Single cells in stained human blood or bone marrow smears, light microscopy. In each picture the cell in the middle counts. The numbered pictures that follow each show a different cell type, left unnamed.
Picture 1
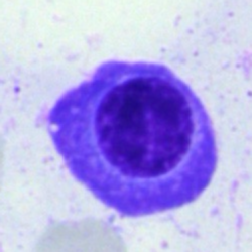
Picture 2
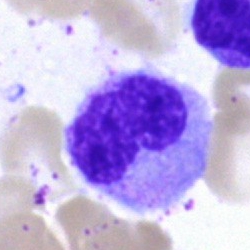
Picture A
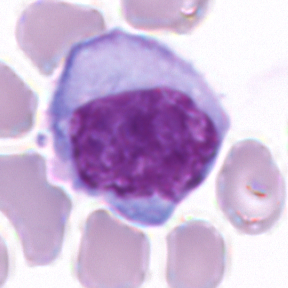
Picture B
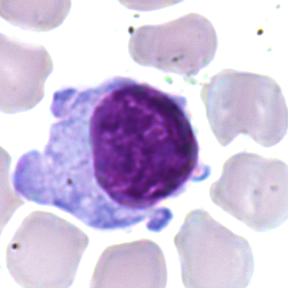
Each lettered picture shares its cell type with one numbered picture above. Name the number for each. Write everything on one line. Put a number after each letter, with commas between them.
A 1, B 1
